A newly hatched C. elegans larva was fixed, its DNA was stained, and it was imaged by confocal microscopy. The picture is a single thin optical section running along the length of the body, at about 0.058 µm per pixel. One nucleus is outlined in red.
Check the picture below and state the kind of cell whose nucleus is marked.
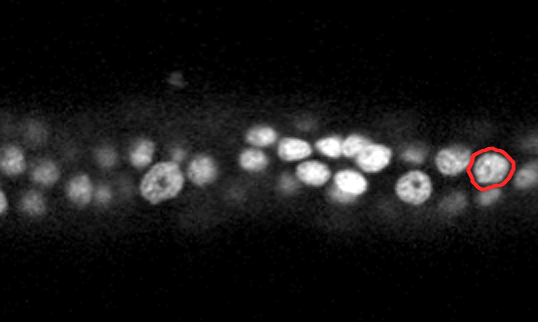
hypodermal cell (hyp)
